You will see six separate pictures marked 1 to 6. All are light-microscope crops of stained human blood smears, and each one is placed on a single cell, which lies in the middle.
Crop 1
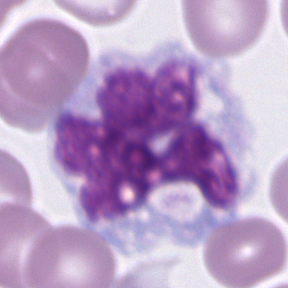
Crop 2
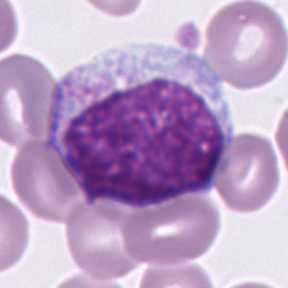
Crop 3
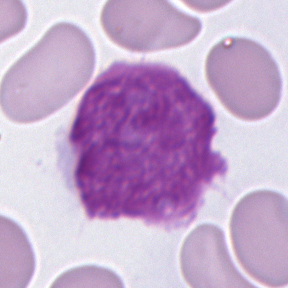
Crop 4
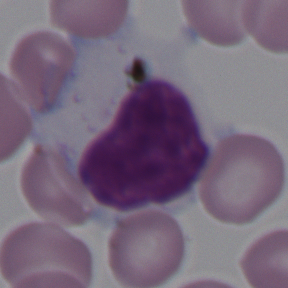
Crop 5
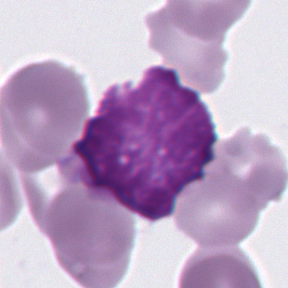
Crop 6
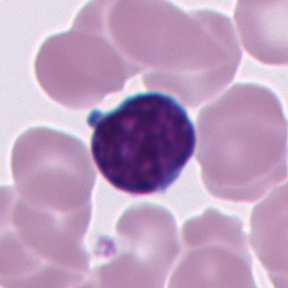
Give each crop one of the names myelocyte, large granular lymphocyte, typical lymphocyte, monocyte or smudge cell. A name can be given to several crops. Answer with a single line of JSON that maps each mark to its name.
{"1": "monocyte", "2": "myelocyte", "3": "smudge cell", "4": "large granular lymphocyte", "5": "smudge cell", "6": "typical lymphocyte"}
